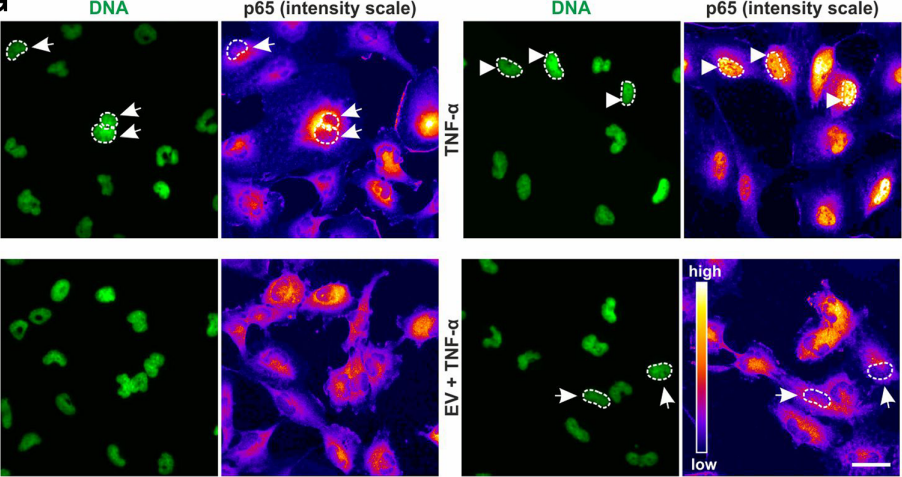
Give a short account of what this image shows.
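Four fields of cultured cells are shown, each as a pair: nuclei in green on black beside the same field in a colour intensity scale. The cells are flat and spread, with irregular outlines and sometimes thin extensions, lying separately or touching neighbours. Nuclei are oval to kidney-shaped, some indented or lobed, with fairly even texture. In the intensity images the cytoplasm grades from purple at the cell margins to orange and yellow near the centre. In some fields the nuclei, outlined by white dashed lines and marked by arrows or arrowheads, are as bright as or brighter than the surrounding cytoplasm, while in others they are darker than the cytoplasm around them.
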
